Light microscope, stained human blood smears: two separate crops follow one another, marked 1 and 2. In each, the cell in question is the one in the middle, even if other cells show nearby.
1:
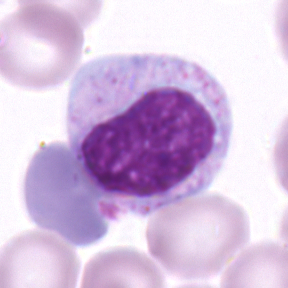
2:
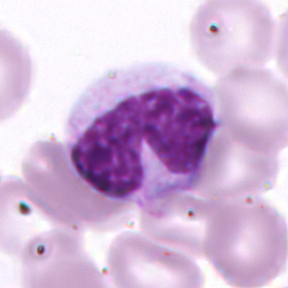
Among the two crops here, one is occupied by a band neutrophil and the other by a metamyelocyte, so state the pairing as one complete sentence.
So, crop 1 is a metamyelocyte, and crop 2 is a band neutrophil.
